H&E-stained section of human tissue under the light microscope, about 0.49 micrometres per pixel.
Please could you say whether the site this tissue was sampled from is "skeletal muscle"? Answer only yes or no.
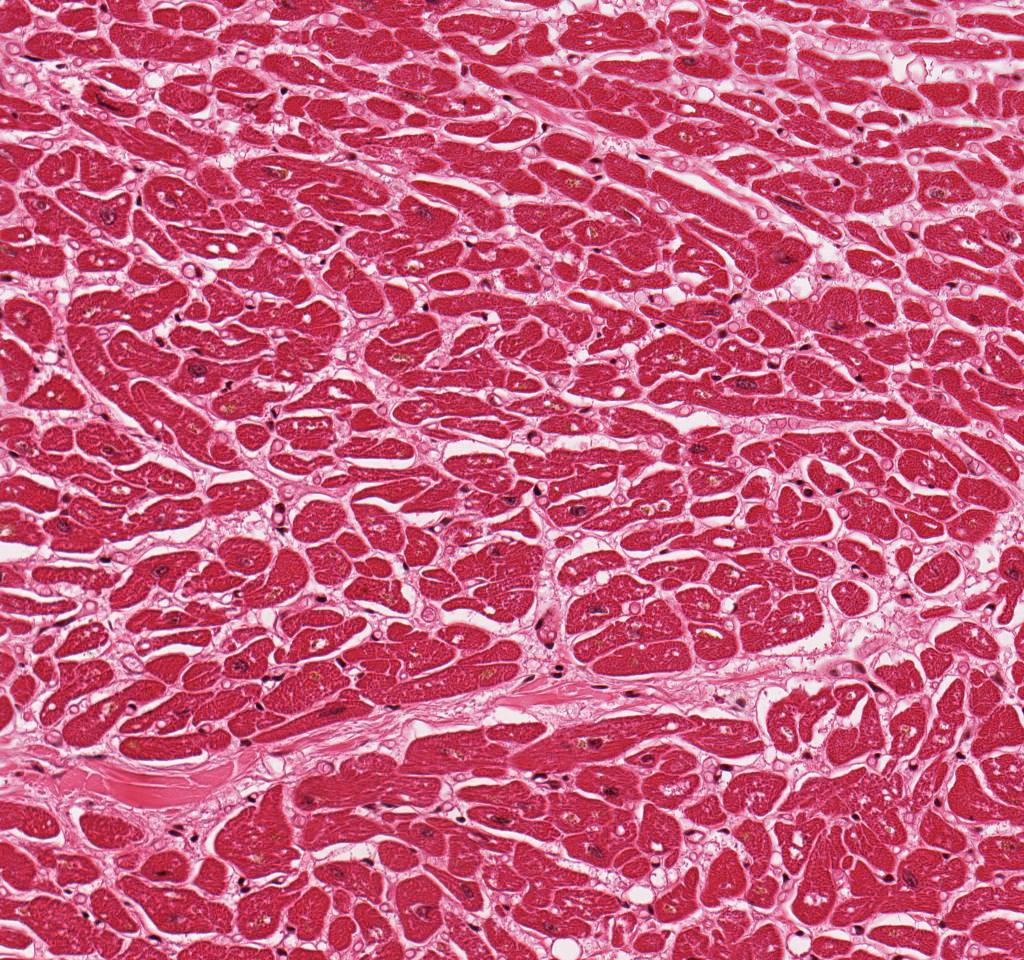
no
